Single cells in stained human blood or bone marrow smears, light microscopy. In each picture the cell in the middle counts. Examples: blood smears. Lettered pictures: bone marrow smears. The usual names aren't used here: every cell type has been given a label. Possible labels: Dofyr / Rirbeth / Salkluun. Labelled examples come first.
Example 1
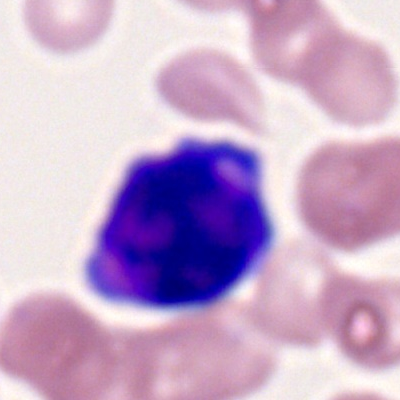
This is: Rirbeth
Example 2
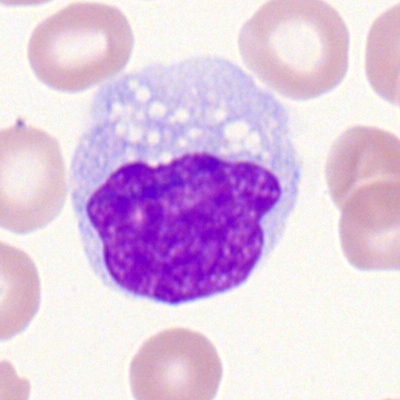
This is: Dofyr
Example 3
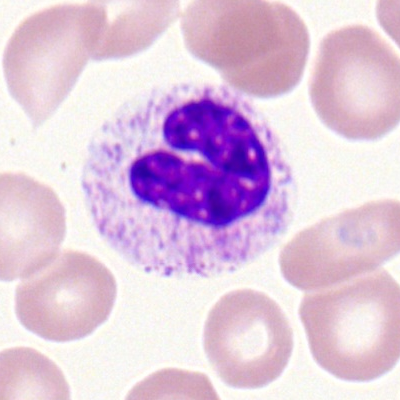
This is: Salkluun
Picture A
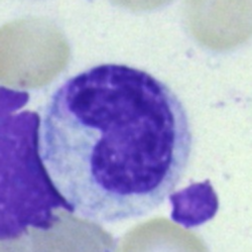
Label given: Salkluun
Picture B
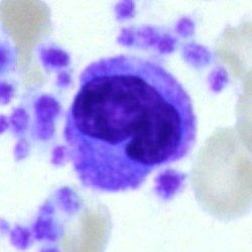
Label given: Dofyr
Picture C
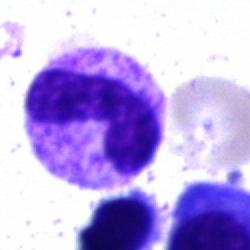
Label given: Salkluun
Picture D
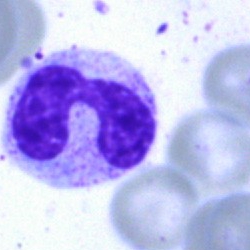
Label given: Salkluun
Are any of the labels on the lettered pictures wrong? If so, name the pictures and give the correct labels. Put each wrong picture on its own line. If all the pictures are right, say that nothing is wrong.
None of the labels needs changing.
